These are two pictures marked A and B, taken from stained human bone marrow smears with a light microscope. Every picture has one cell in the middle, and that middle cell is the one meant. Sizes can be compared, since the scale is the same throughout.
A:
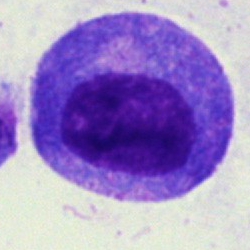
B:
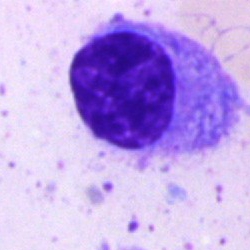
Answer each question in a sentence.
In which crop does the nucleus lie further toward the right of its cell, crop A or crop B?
The nucleus in crop A lies further toward the right of its cell.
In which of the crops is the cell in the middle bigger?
It is the cell in crop A, about 1.5 times as large in area as the cell in crop B.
